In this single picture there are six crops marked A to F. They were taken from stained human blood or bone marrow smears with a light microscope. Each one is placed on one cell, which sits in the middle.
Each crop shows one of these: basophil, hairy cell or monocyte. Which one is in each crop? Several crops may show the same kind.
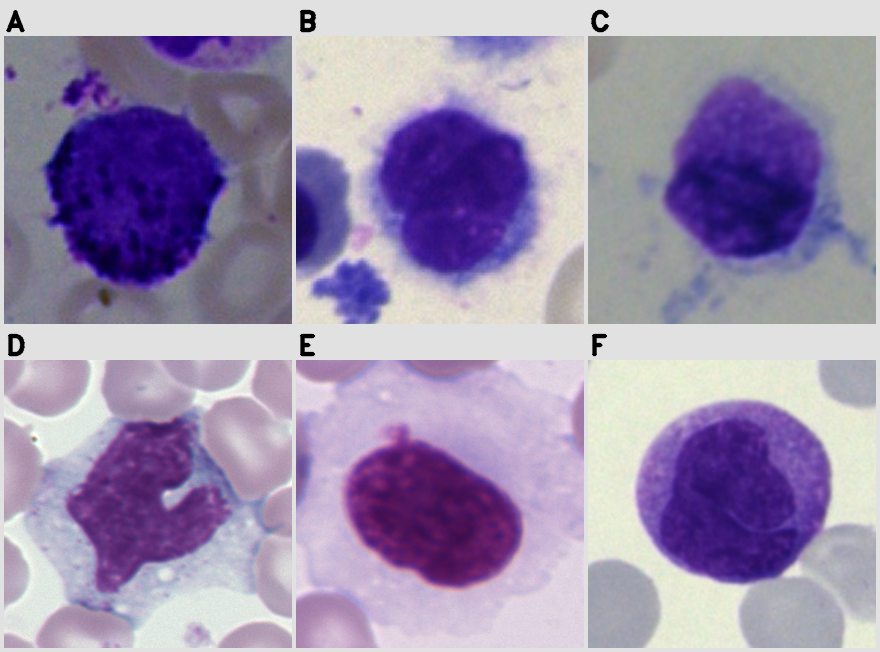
A: basophil
B: hairy cell
C: hairy cell
D: monocyte
E: hairy cell
F: monocyte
